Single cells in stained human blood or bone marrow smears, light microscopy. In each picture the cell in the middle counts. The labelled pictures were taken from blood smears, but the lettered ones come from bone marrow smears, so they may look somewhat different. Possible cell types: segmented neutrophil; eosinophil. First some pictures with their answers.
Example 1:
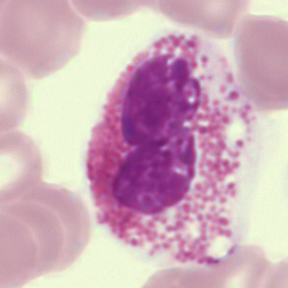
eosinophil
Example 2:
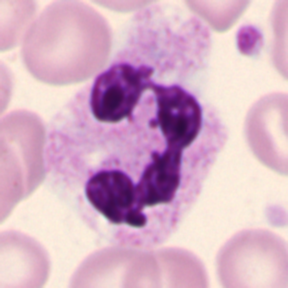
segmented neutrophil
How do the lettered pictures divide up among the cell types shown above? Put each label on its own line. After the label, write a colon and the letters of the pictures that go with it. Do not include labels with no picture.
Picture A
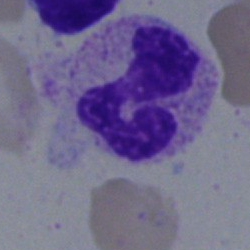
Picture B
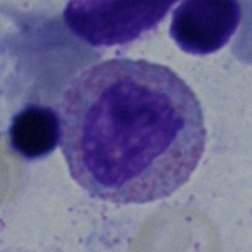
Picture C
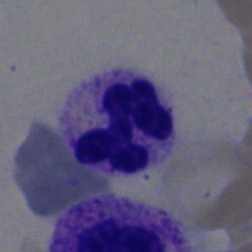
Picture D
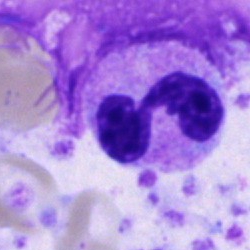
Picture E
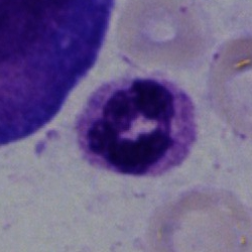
segmented neutrophil: A, C, D, E
eosinophil: B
